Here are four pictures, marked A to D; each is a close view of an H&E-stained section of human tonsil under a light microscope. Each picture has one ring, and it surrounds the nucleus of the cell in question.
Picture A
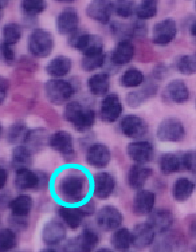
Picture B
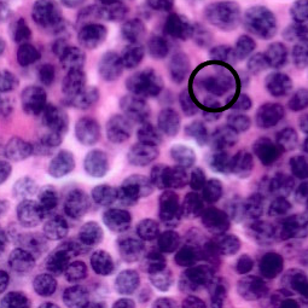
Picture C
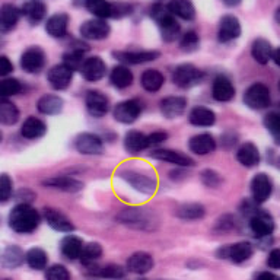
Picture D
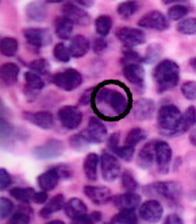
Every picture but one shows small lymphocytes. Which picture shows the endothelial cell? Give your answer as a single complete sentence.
It is picture C that shows the endothelial cell.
